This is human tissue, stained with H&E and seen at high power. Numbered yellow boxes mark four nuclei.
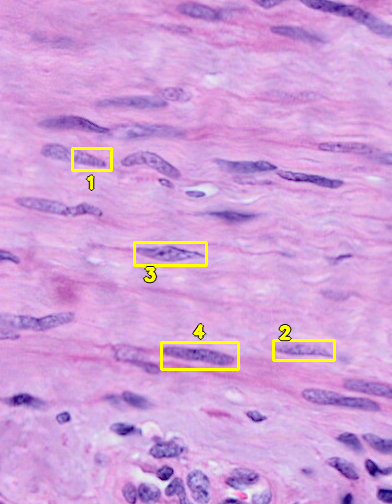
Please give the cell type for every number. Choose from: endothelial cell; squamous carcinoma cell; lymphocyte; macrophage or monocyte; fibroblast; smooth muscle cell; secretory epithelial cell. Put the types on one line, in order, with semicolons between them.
smooth muscle cell; fibroblast; fibroblast; smooth muscle cell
